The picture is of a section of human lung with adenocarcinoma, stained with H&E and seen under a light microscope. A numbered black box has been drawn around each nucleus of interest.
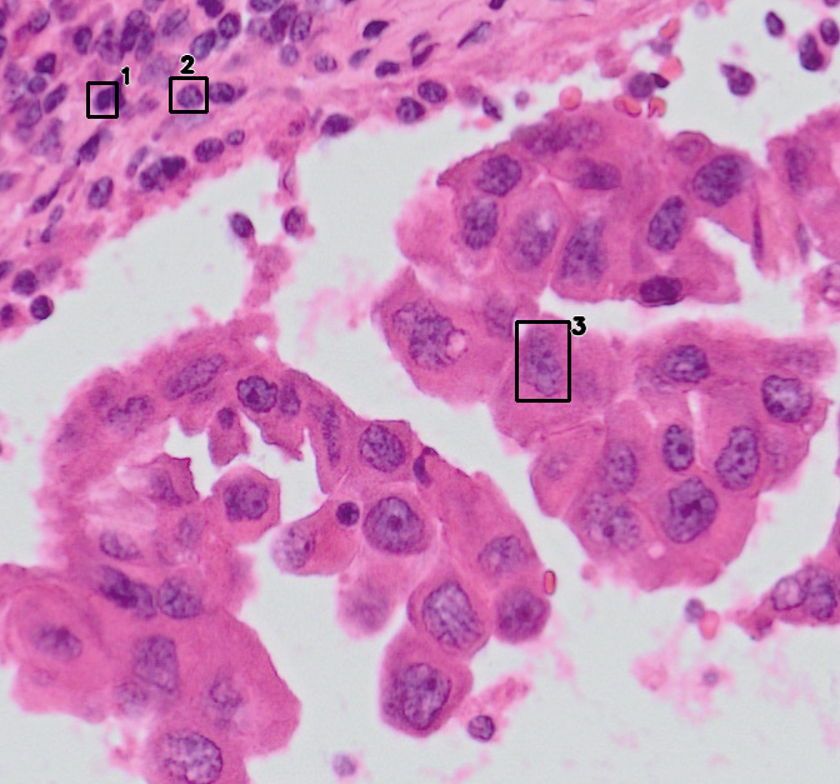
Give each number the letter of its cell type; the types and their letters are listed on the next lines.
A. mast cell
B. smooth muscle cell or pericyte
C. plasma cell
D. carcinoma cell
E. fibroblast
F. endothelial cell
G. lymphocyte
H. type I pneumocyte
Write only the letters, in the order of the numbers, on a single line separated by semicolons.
G; G; D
